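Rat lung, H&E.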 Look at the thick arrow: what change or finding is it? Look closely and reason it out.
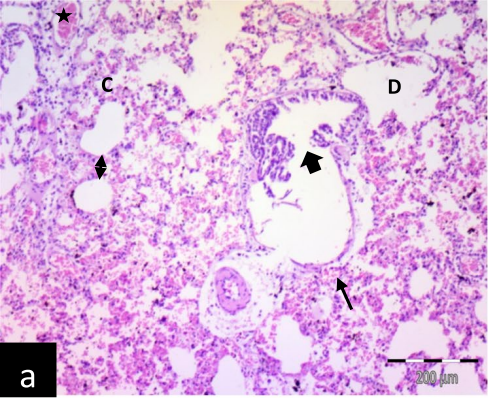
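The thick arrow points to folded epithelial lining detached into an airway lumen. On this evidence: destructed bronchioles.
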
